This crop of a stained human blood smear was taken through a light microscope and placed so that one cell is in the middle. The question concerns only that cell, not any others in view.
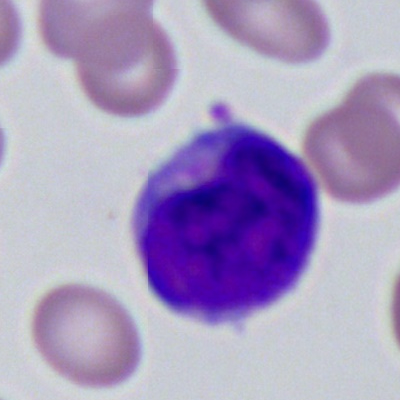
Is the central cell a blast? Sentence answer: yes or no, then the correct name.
Yes, the crop is centred on a blast.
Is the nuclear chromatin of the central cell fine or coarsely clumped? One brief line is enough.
The chromatin within its nucleus forms coarse clumps.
